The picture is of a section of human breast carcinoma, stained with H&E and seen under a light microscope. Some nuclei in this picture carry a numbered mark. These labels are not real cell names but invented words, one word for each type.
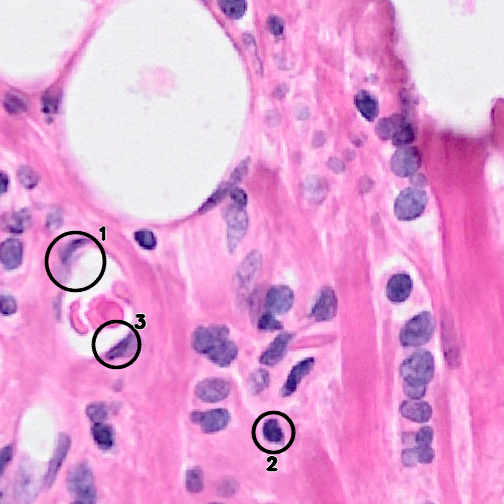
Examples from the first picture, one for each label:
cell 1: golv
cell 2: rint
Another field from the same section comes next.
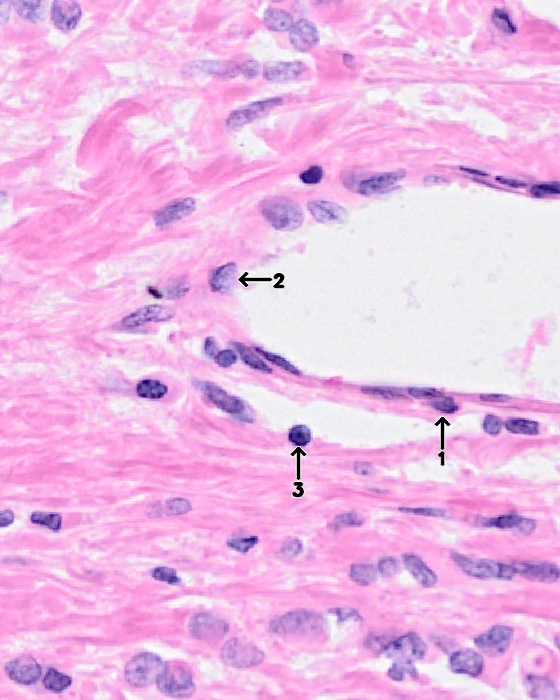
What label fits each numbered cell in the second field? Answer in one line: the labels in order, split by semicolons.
golv; golv; rint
